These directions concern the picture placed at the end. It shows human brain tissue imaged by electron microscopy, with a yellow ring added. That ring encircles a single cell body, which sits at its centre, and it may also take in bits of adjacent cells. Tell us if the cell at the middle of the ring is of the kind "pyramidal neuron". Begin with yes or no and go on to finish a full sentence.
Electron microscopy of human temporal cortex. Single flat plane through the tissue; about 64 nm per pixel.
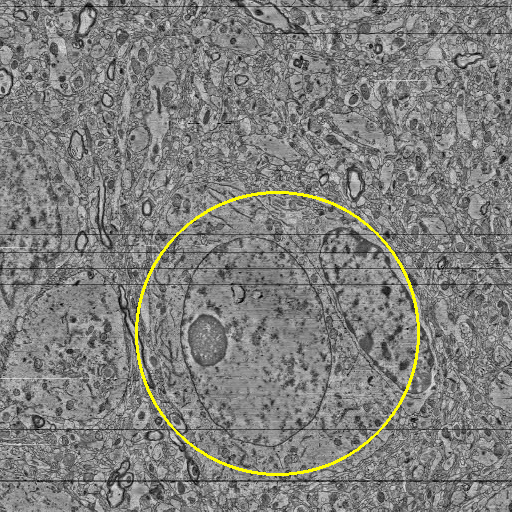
Yes, the cell sitting at the centre of the yellow ring in the picture is of that kind.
